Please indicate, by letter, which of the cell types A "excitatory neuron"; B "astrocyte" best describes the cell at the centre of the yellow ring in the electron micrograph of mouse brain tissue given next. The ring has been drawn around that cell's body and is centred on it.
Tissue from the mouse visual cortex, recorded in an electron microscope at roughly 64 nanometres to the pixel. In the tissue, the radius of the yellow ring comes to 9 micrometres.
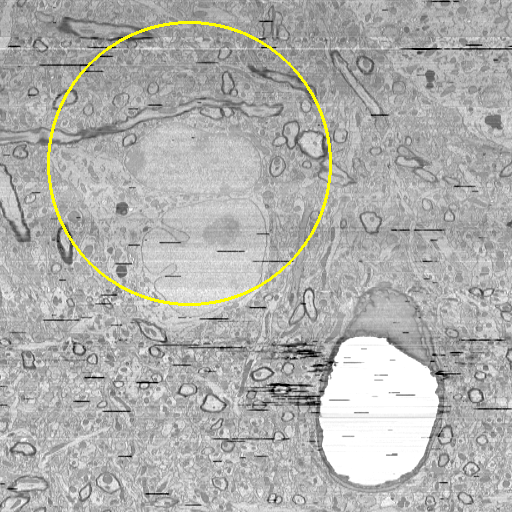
B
